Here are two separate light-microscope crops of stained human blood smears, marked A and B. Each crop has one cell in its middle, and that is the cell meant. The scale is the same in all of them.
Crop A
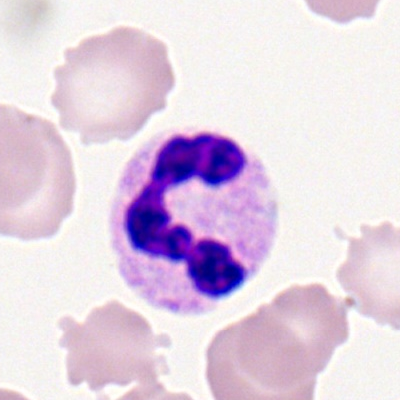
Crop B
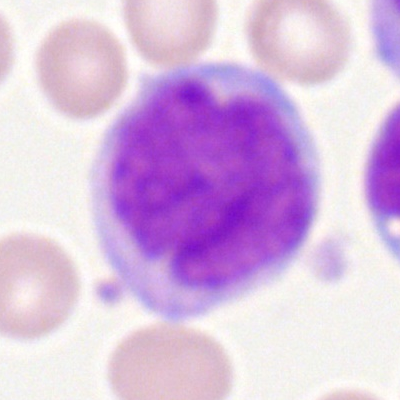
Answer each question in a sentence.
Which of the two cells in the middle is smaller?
The cell in crop A is smaller; the one in crop B has about 2 times its area.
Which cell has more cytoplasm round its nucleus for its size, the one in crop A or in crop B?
It is the cell in crop A that is filled less by its nucleus.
